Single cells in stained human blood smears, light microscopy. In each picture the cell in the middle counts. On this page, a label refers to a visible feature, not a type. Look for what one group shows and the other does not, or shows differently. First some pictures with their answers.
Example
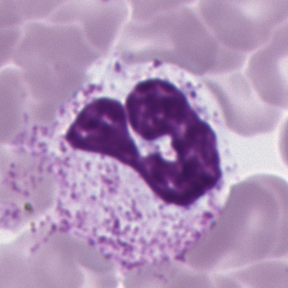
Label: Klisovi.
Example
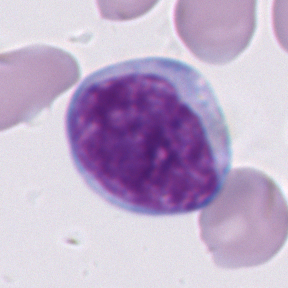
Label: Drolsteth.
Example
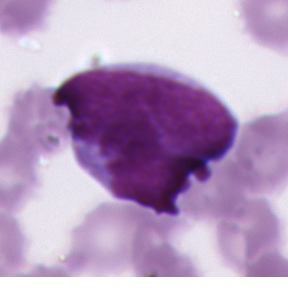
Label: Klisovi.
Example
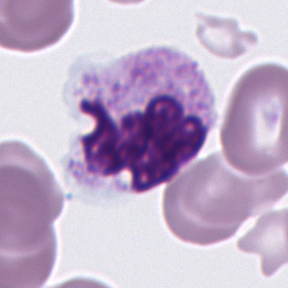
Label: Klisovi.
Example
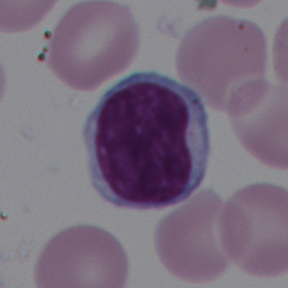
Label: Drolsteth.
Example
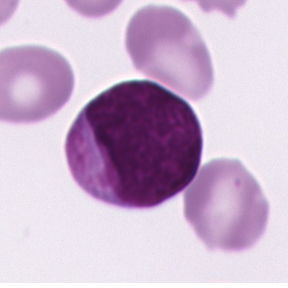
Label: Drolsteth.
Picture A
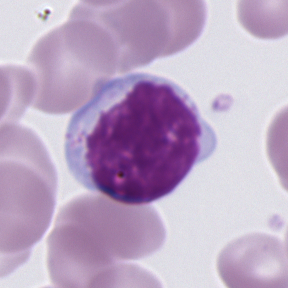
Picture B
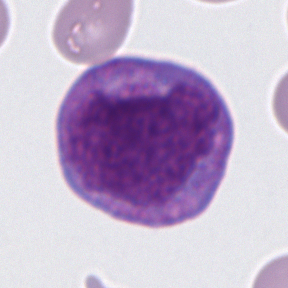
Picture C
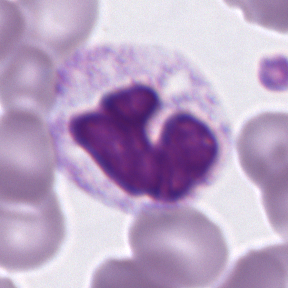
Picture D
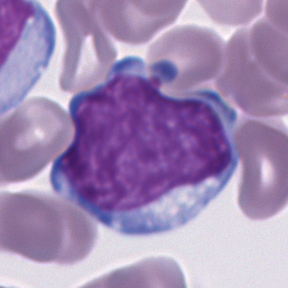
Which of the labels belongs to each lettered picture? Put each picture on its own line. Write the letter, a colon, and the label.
A: Klisovi.
B: Drolsteth.
C: Drolsteth.
D: Klisovi.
